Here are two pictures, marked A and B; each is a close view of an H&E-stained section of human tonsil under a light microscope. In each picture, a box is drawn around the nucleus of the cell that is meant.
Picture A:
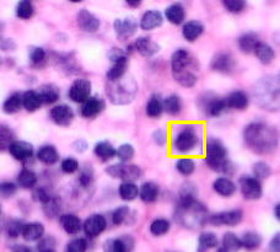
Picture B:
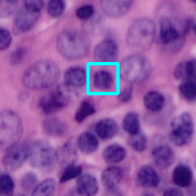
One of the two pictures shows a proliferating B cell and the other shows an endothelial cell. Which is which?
A: proliferating B cell
B: endothelial cell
